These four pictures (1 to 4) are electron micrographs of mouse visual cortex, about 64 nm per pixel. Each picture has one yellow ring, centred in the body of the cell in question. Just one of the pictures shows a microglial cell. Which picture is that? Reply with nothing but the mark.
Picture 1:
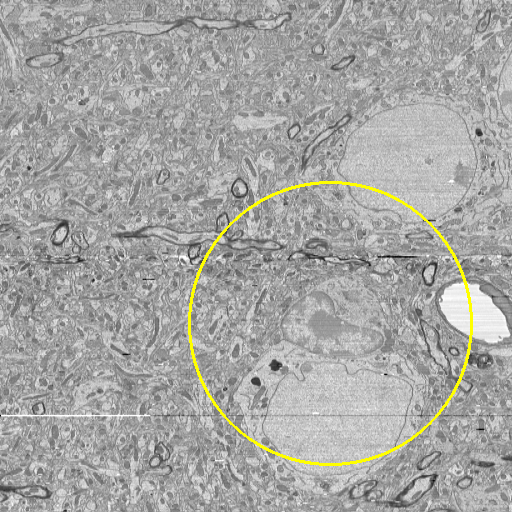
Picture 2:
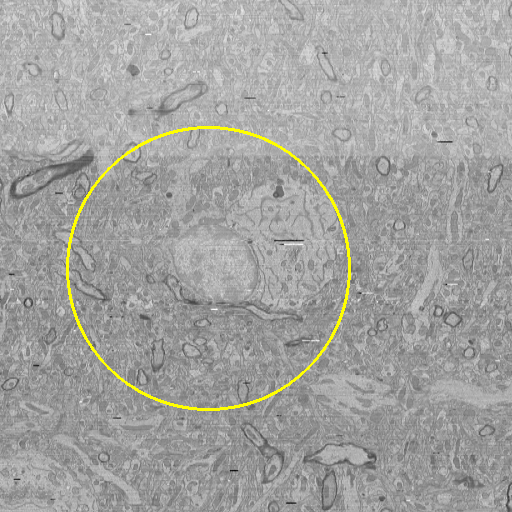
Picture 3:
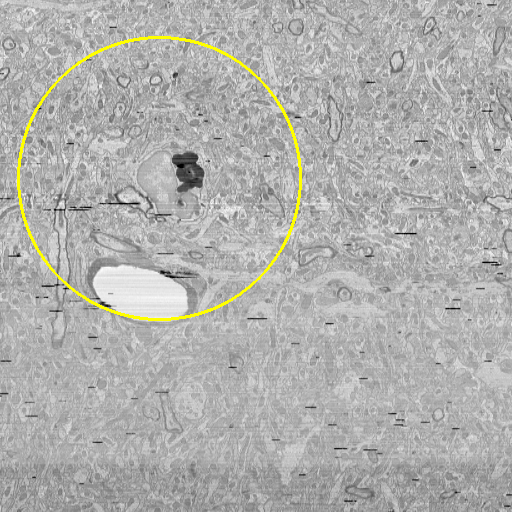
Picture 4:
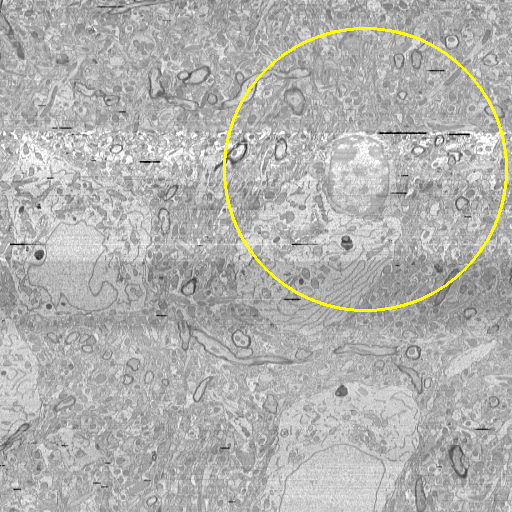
3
